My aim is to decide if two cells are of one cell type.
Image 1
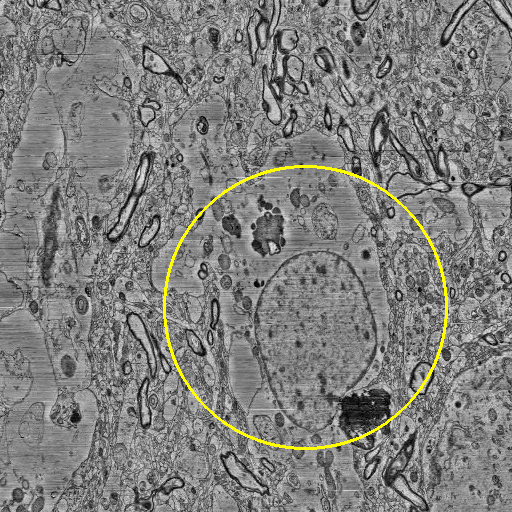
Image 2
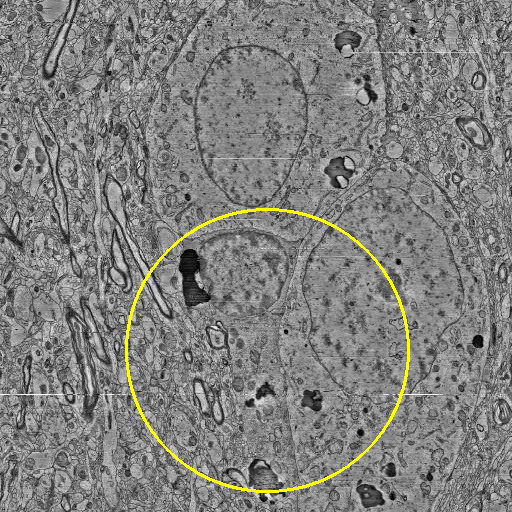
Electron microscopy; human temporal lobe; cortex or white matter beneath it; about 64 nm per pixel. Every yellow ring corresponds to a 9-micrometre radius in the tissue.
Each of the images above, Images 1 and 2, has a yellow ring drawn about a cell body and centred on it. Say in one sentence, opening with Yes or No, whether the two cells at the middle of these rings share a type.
No, in Images 1 and 2 the cells at the middle of the rings fall into two types.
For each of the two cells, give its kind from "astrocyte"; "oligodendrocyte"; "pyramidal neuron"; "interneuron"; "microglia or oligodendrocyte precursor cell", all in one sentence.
The first picture has an astrocyte in its ring, the second has an oligodendrocyte.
